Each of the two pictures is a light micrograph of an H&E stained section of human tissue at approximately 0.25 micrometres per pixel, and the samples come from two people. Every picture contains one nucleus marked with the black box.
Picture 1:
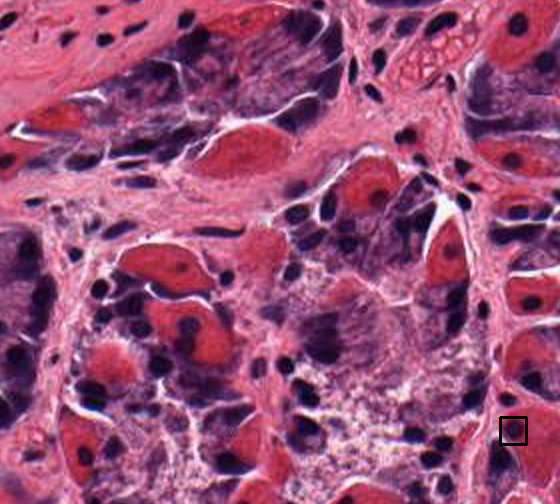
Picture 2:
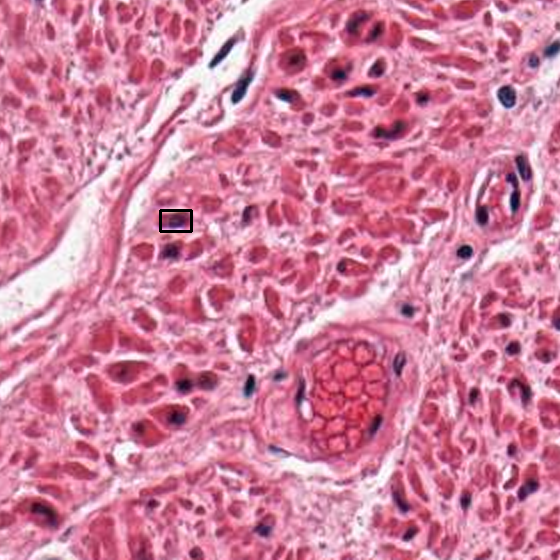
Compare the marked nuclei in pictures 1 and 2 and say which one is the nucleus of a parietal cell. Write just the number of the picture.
1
